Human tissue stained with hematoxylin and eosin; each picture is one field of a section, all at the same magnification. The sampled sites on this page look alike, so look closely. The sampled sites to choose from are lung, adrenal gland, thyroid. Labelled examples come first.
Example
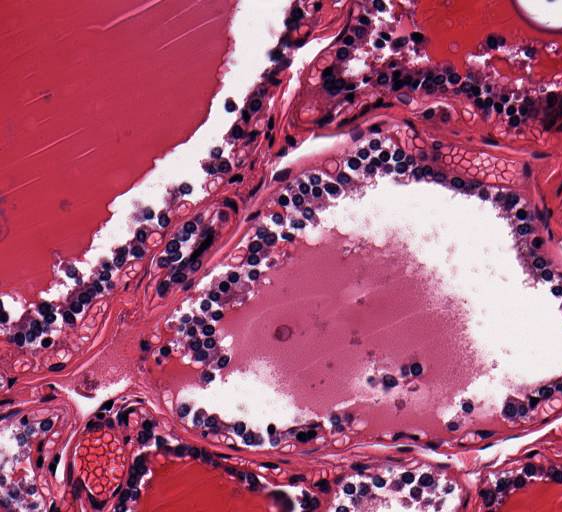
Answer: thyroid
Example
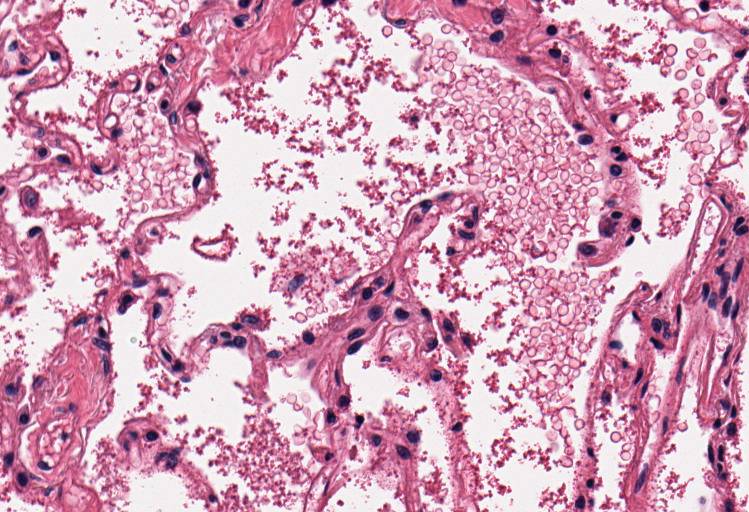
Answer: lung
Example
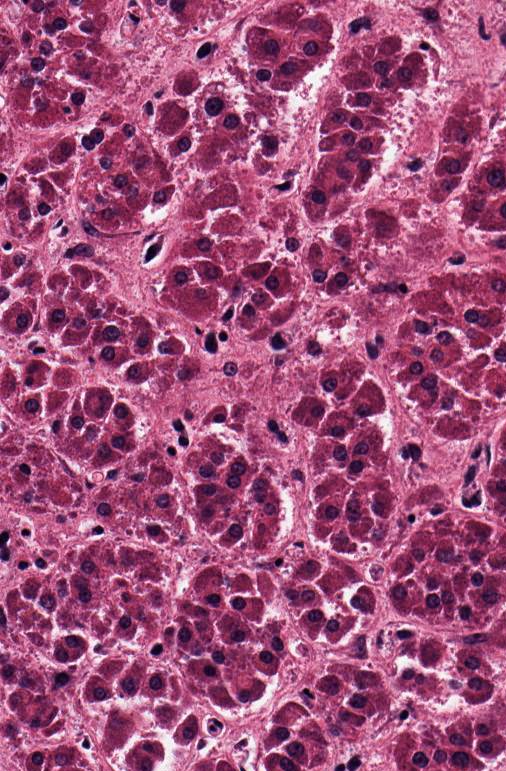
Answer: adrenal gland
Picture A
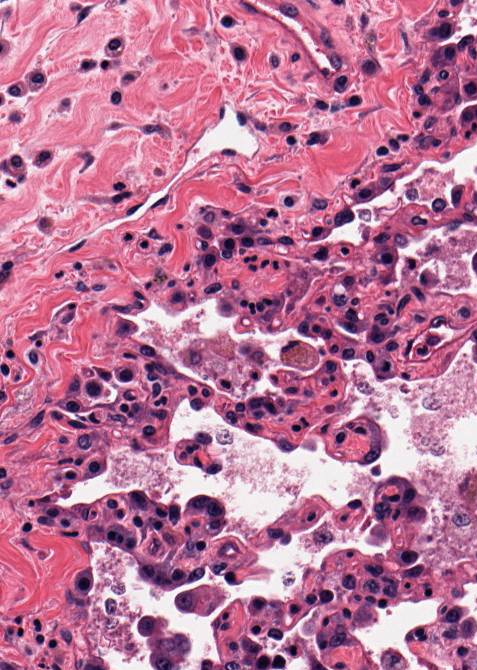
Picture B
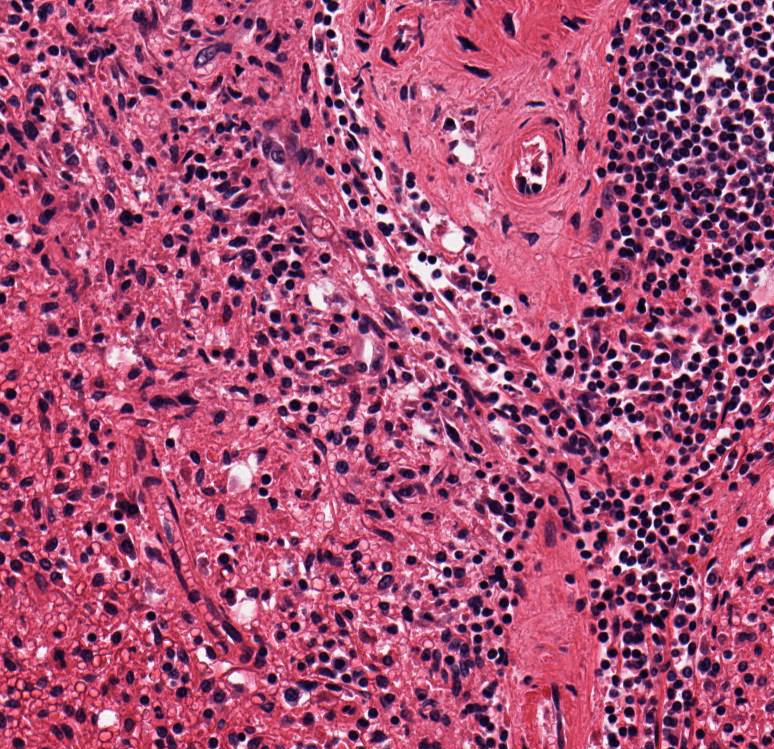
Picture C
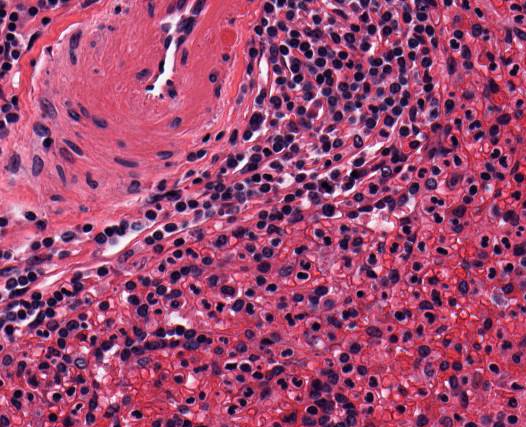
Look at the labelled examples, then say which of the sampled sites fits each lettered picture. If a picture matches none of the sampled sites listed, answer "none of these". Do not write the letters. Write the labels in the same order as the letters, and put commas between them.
lung, none of these, none of these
